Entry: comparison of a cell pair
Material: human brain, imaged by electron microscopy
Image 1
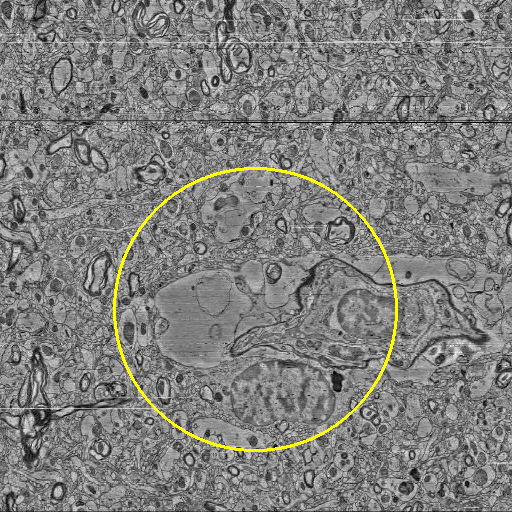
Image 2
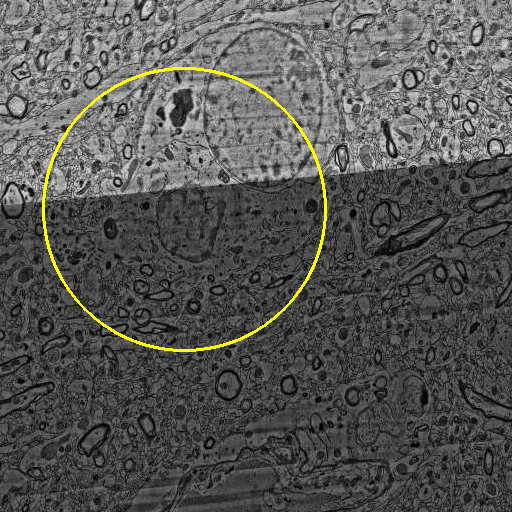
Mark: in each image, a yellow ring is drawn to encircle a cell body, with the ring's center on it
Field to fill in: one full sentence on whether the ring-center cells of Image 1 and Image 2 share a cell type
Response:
Yes, Image 1 and Image 2 each show a ring-center cell of one shared type.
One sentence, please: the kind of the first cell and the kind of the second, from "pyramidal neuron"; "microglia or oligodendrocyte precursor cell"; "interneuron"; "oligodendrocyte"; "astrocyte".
In both pictures the ring is centred on a microglial cell or oligodendrocyte precursor cell.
